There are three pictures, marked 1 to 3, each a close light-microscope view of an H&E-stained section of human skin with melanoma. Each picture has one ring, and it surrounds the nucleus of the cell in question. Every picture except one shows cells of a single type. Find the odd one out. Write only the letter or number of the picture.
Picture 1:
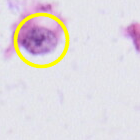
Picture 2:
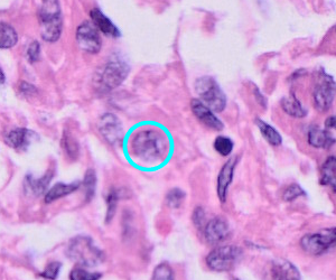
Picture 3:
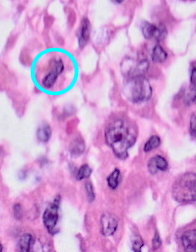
3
